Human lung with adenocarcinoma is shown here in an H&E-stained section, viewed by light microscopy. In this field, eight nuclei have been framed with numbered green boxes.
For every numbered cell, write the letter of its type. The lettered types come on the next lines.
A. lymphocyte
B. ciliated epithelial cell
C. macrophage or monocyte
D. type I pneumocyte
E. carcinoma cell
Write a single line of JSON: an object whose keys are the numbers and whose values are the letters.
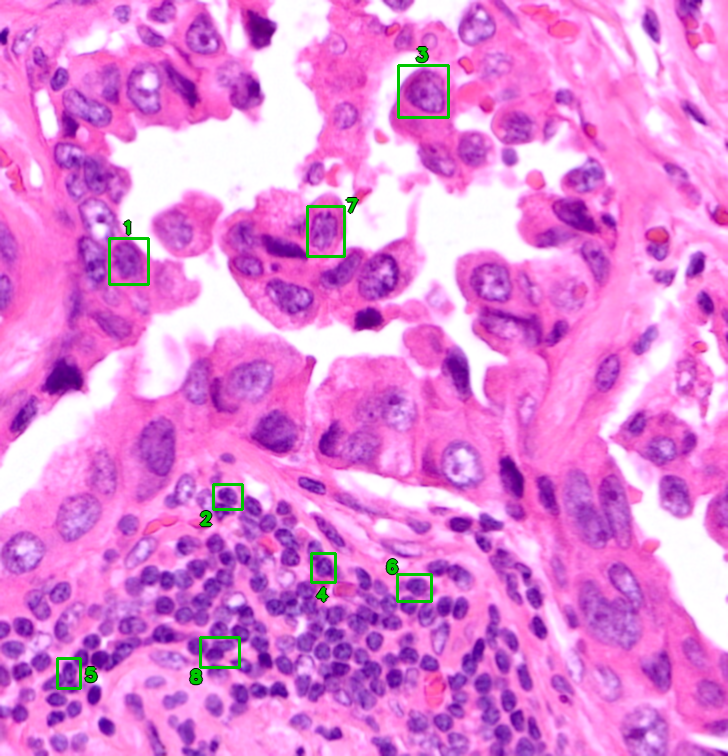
{"1": "E", "2": "A", "3": "E", "4": "A", "5": "A", "6": "A", "7": "E", "8": "A"}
